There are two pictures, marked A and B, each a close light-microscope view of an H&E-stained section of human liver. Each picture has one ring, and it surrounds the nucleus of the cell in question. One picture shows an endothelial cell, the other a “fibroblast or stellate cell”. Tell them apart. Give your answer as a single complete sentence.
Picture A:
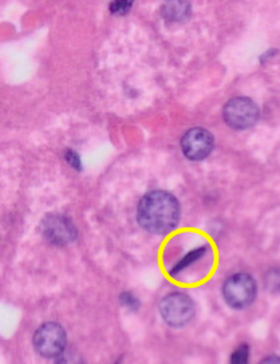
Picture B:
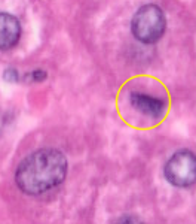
In picture A the cell is an endothelial cell; in picture B, a “fibroblast or stellate cell”.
